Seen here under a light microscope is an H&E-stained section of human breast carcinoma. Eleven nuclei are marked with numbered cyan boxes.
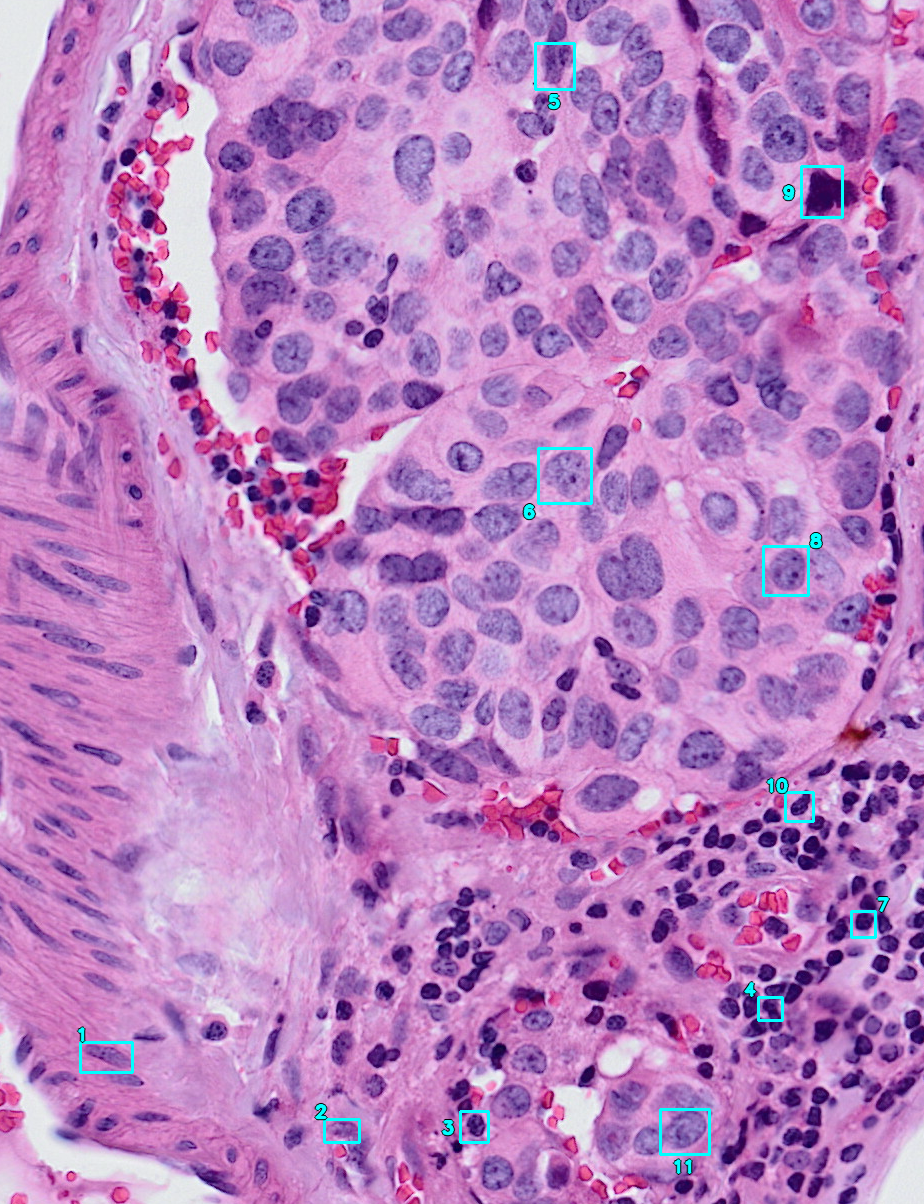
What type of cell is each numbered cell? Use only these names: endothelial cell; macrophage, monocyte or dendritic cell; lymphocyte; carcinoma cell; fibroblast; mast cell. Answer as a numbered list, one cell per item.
1. endothelial cell
2. endothelial cell
3. lymphocyte
4. lymphocyte
5. carcinoma cell
6. carcinoma cell
7. lymphocyte
8. carcinoma cell
9. carcinoma cell
10. lymphocyte
11. carcinoma cell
